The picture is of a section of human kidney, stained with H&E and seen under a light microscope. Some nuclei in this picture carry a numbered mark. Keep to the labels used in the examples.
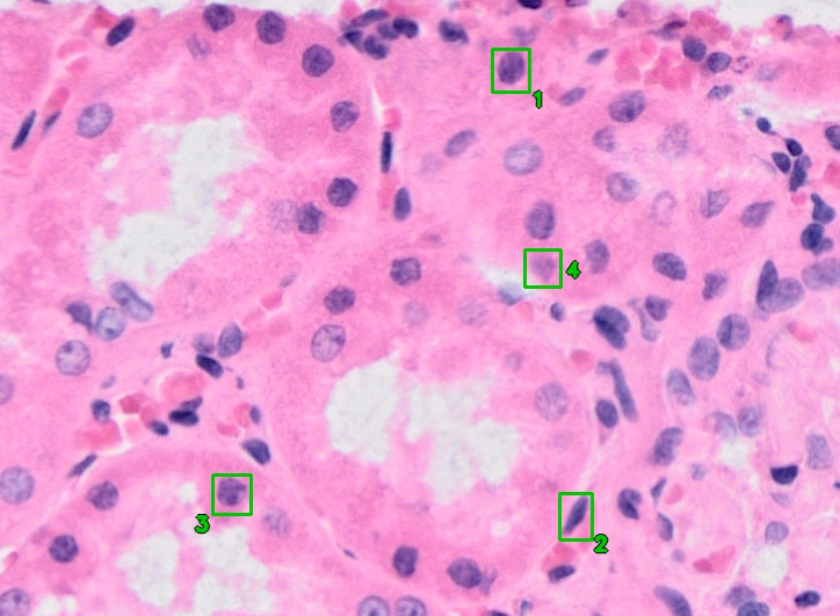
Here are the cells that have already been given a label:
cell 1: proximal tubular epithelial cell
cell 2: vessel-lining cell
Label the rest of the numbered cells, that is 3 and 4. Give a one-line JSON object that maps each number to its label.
{"3": "proximal tubular epithelial cell", "4": "proximal tubular epithelial cell"}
